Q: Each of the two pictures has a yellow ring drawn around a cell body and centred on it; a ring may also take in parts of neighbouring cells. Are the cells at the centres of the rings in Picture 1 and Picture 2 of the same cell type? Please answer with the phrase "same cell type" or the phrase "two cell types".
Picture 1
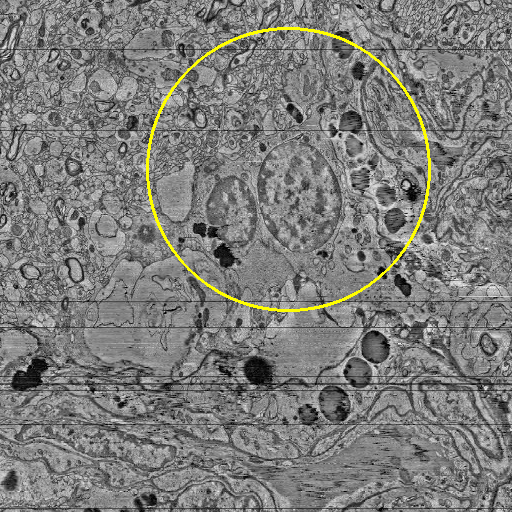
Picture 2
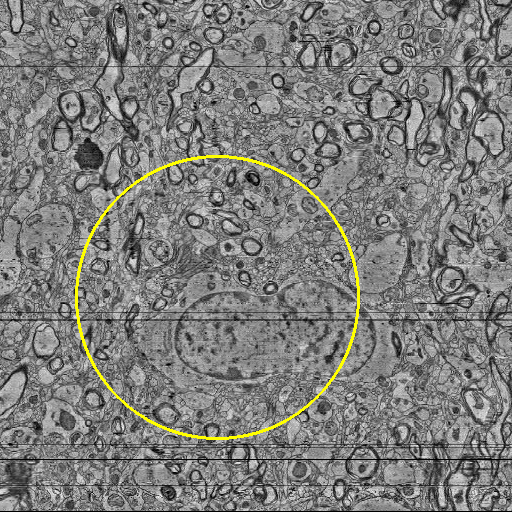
two cell types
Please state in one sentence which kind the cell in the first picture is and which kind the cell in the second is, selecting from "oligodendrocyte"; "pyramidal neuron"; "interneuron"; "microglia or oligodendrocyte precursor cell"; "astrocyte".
The first ringed cell is an oligodendrocyte, the second ringed cell a microglial cell or oligodendrocyte precursor cell.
